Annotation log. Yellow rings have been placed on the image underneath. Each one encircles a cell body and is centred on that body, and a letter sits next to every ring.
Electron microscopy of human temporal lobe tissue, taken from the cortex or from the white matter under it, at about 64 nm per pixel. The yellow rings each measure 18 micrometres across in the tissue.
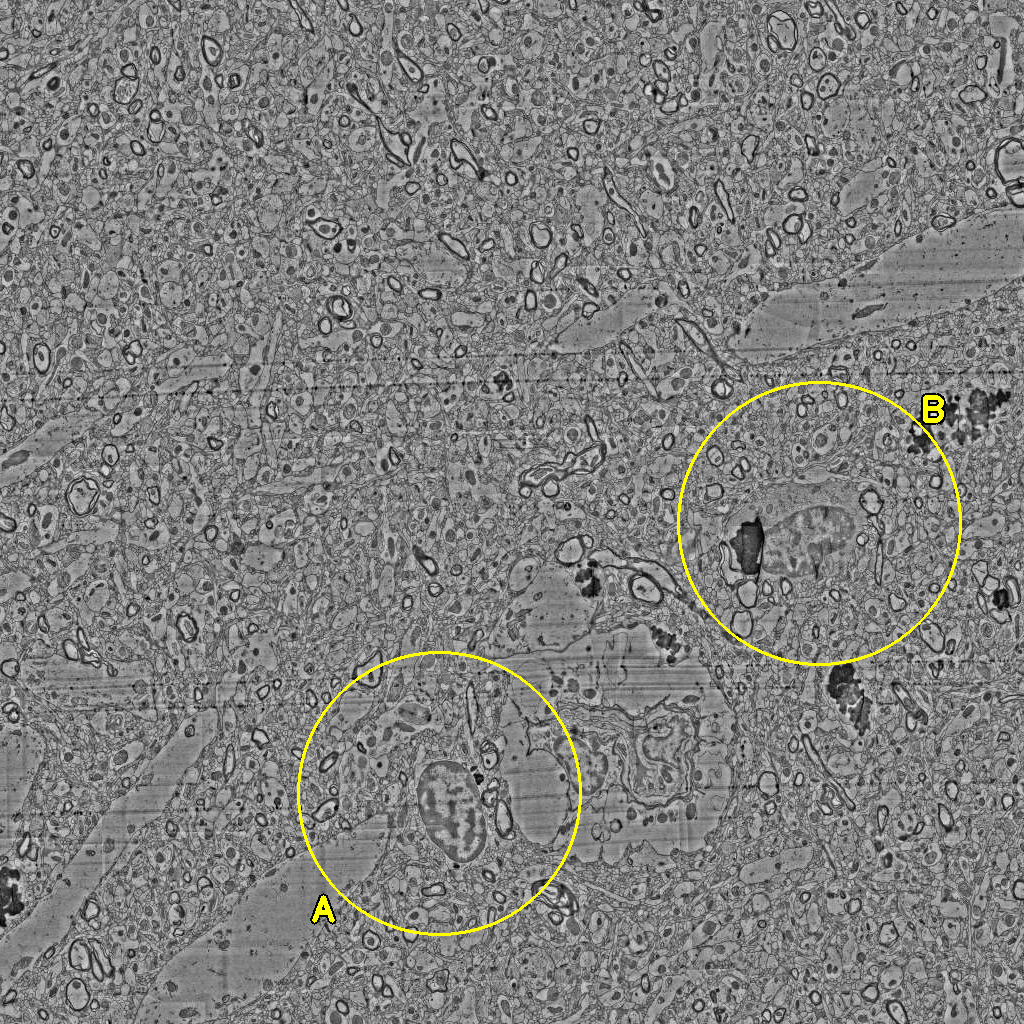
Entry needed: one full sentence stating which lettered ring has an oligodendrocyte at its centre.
The cell asked for sits at the centre of Ring B in the picture.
